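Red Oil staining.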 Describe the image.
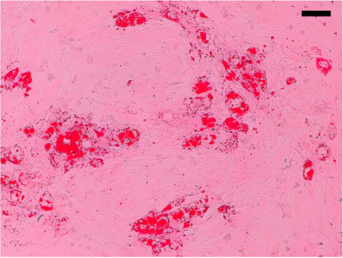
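A cultured monolayer of elongated, fibroblast-like cells lies across the field against a pale pink background, their outlines faint and streaming in loosely parallel directions. Scattered among them are several patches where cells are filled with small, round, bright red droplets, many packed closely together so that the patches look like red clusters of beads. Some droplets are larger and some are fine granules. Between these clusters, most of the spindle-shaped cells carry little or no red material, so the red-filled cells form separate islands within the unstained sheet.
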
